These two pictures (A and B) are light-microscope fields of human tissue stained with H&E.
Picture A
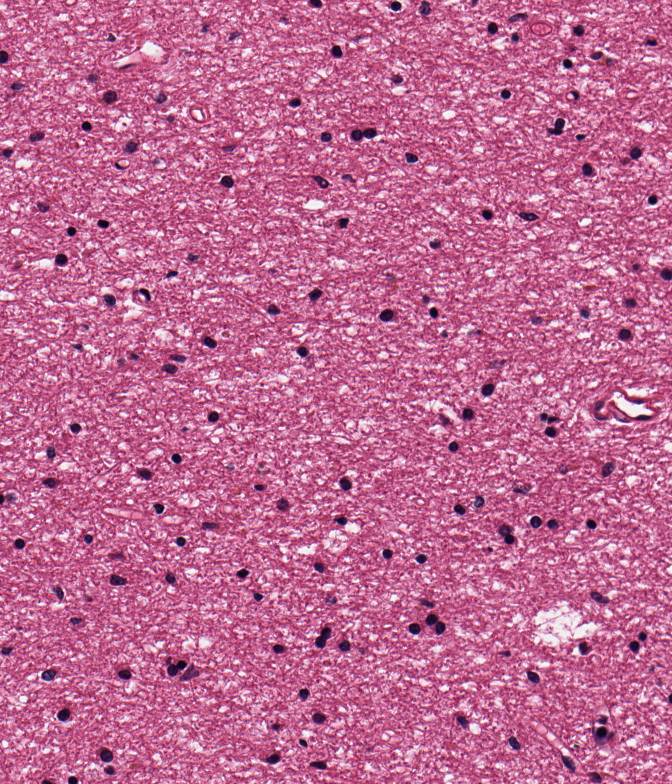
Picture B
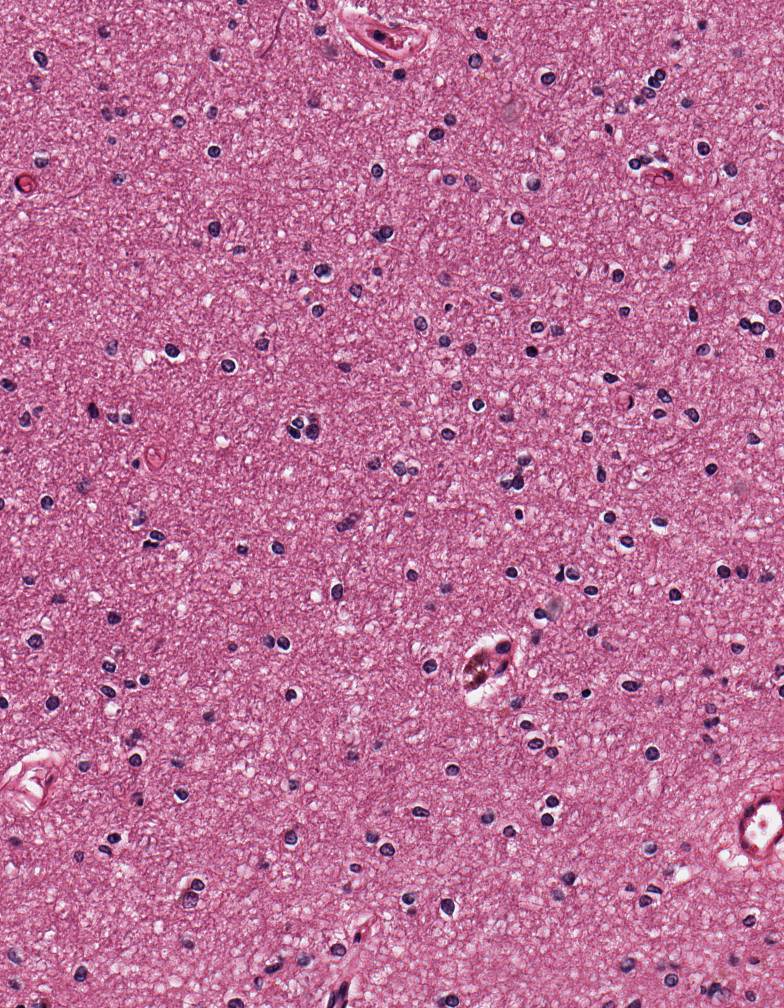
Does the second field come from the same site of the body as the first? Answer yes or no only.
no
